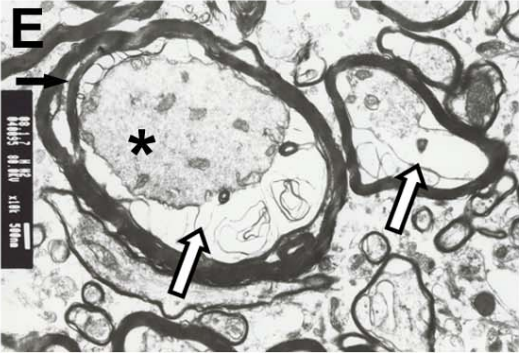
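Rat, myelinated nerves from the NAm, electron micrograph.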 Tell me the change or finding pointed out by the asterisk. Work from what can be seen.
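The axon interior at the asterisk is pale and low in density. Only scattered organelles remain in it.
Partial dissolution of the axoplasm.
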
